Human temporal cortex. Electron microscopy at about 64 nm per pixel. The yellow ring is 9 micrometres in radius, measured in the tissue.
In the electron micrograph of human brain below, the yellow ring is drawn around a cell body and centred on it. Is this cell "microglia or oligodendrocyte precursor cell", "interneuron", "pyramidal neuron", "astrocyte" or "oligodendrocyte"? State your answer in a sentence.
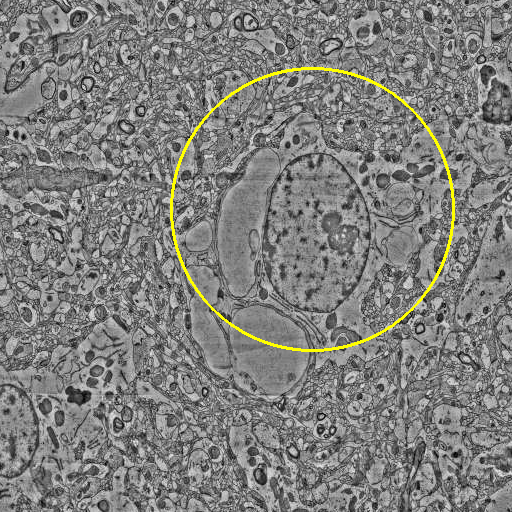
The cell in the middle of the ring is an astrocyte.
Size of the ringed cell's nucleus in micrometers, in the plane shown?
In this plane the nucleus measures roughly 10 by 7 micrometres.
